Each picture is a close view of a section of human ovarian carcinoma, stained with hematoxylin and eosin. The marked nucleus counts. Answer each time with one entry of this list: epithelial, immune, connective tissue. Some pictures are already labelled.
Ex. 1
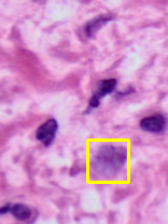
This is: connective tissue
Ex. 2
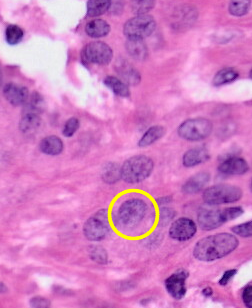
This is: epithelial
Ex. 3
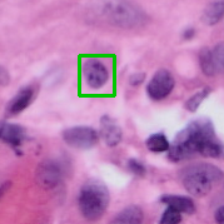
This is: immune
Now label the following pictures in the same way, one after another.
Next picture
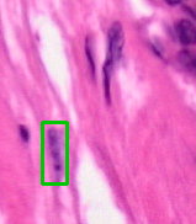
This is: connective tissue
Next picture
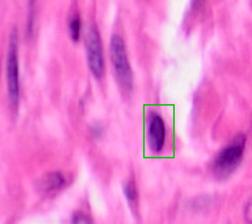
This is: connective tissue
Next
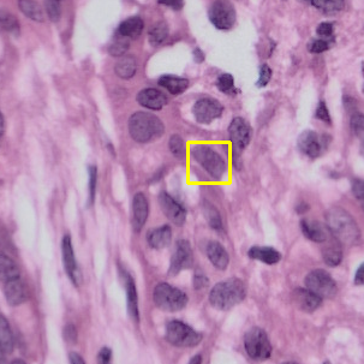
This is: epithelial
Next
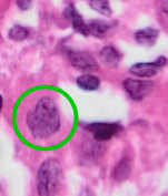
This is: epithelial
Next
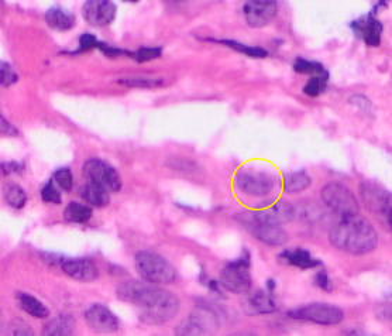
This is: epithelial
